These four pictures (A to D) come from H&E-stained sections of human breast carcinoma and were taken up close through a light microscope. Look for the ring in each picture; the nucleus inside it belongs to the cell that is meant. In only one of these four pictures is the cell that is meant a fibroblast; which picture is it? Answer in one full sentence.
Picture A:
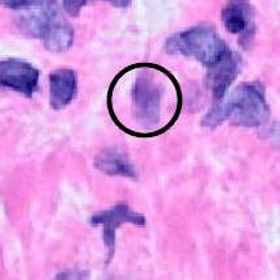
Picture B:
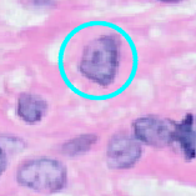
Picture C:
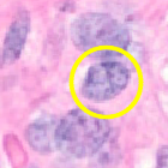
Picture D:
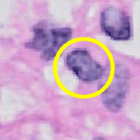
Picture A shows the fibroblast.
